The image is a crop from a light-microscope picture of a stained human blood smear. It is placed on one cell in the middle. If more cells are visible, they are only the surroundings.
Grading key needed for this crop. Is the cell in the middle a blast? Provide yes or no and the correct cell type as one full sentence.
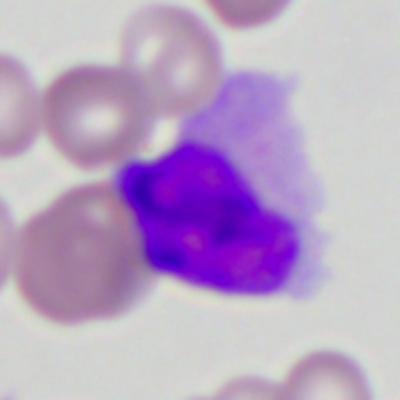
No, the centred cell is a monocyte instead of a blast.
